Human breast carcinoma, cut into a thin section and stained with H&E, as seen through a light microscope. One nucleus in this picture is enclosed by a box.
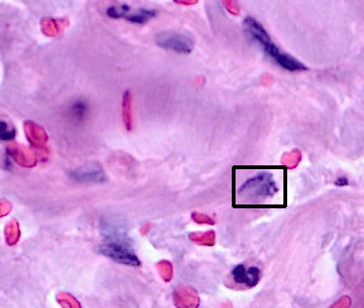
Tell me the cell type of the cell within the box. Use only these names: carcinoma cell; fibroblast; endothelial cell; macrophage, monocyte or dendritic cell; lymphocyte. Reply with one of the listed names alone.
fibroblast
